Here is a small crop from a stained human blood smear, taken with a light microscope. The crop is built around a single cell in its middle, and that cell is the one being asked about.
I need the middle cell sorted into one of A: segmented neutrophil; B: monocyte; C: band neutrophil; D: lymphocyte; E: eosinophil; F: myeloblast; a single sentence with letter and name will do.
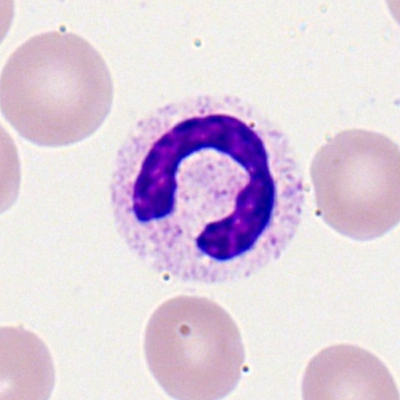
Option C is accurate; the centrally placed cell is a band neutrophil.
